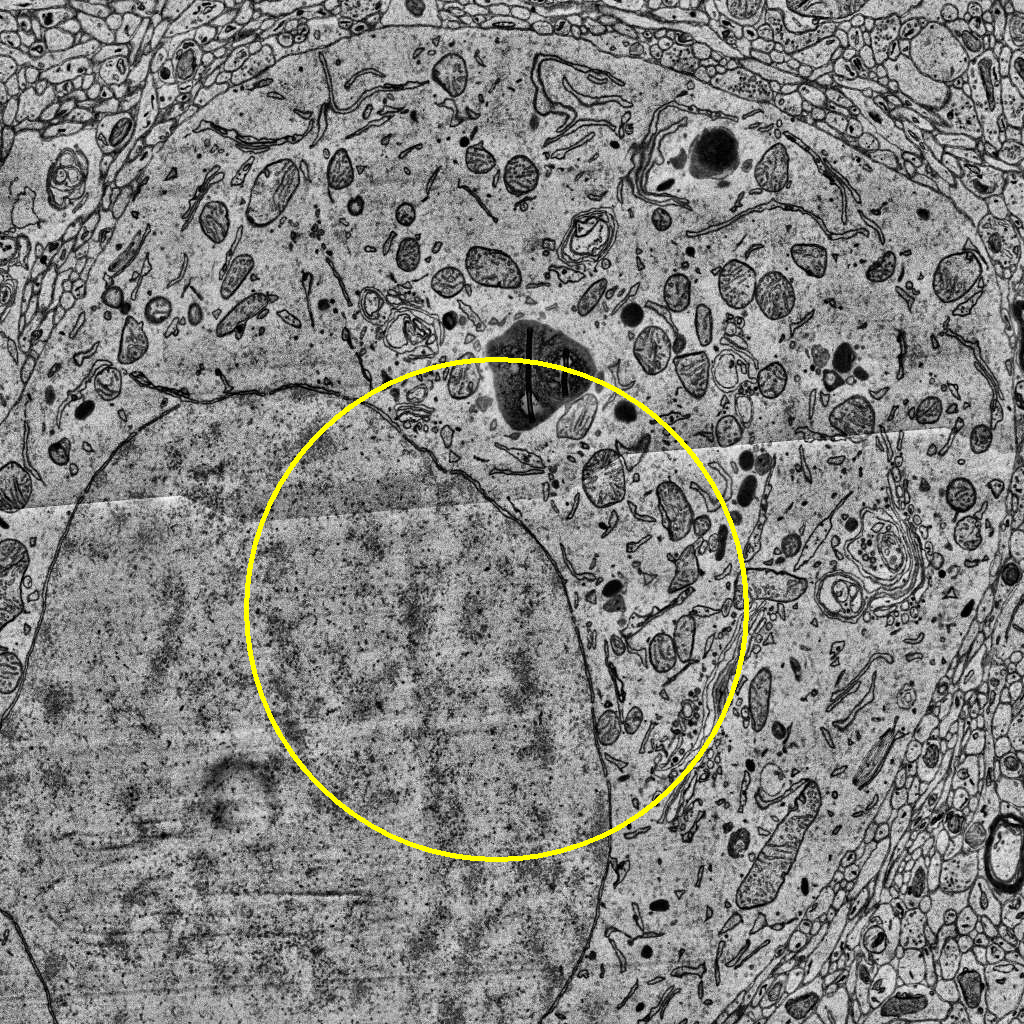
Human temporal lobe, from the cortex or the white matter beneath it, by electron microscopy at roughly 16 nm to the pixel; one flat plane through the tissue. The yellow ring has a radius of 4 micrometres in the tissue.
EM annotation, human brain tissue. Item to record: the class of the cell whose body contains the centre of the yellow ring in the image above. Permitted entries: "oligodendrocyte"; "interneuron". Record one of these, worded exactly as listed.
interneuron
